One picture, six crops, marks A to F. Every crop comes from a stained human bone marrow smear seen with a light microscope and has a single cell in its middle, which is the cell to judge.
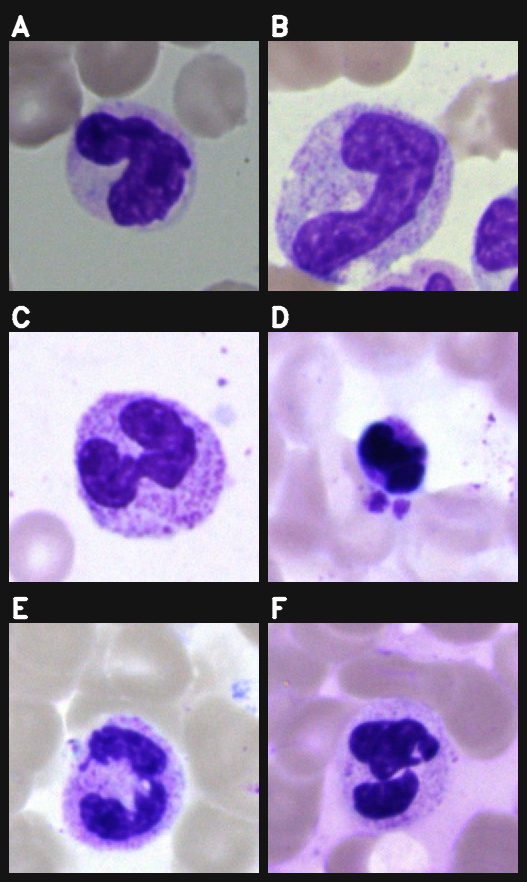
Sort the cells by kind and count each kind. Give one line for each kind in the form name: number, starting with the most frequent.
segmented neutrophil: 4
band neutrophil: 2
